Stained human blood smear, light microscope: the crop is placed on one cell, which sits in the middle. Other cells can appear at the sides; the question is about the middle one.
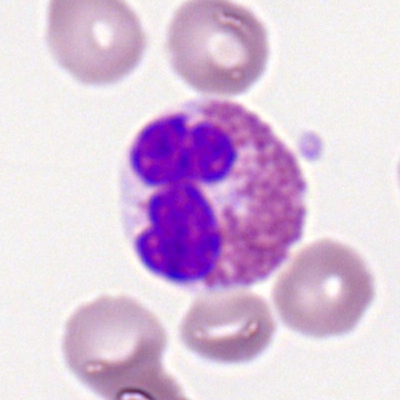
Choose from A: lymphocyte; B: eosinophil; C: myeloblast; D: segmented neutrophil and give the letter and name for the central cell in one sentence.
That the central cell is an eosinophil makes option B correct.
